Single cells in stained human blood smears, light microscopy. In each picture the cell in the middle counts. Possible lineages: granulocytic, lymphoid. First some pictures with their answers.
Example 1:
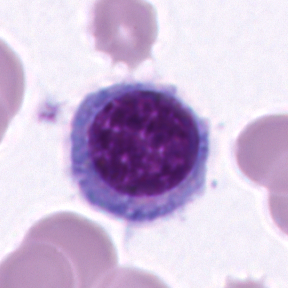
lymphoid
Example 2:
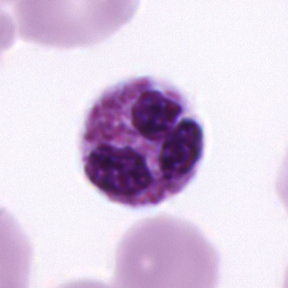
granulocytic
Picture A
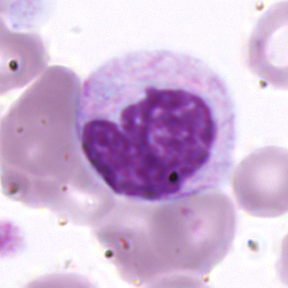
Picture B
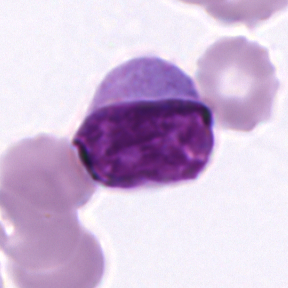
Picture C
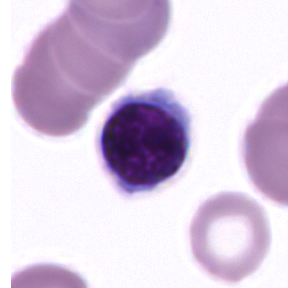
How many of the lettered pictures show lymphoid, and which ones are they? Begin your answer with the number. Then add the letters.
Count: 2 (B, C)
